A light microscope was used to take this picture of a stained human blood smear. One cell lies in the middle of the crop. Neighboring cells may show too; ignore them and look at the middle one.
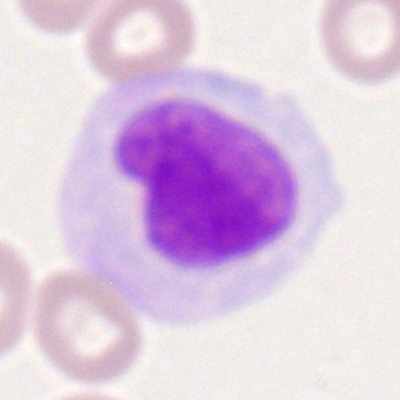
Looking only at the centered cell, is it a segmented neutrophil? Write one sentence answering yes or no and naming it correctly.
No, the cell located centrally is a monocyte rather than a segmented neutrophil.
